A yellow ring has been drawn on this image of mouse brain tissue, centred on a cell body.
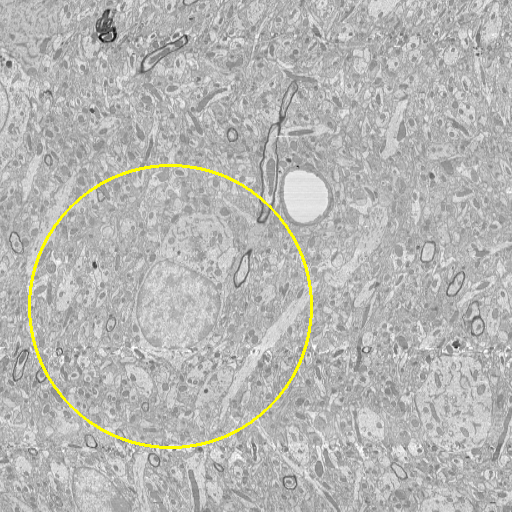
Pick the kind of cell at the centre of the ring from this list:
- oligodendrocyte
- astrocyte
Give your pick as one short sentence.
The centre of the ring holds an oligodendrocyte.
